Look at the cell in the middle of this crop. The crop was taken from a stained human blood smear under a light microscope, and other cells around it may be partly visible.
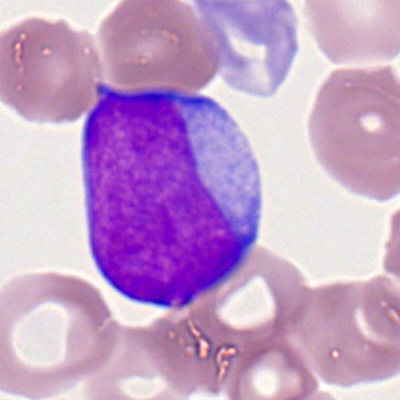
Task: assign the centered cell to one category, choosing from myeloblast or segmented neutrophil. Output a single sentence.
The cell at the heart of this crop is a myeloblast.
